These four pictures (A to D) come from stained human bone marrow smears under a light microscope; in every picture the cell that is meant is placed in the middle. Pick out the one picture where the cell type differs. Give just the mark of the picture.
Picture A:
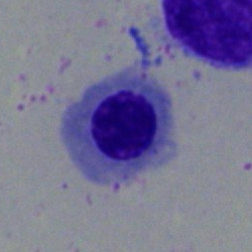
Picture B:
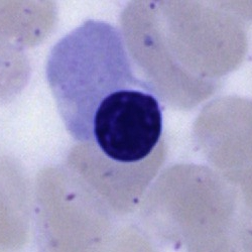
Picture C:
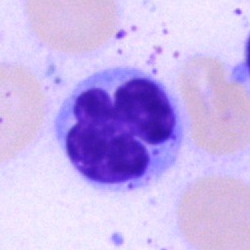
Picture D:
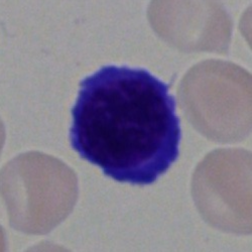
C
